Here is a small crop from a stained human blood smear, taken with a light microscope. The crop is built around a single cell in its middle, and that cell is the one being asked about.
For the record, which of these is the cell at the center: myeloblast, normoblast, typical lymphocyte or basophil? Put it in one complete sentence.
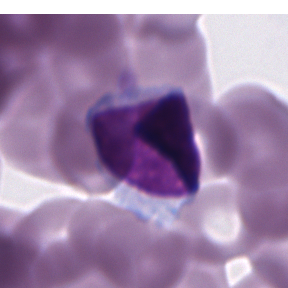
The cell at the heart of this crop is a typical lymphocyte.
